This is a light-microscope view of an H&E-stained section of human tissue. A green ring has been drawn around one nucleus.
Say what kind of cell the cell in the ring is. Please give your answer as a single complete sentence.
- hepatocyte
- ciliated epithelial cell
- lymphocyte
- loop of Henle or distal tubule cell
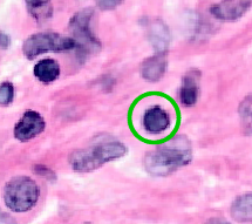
The cell type represented by the cell in the ring is that of a lymphocyte.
